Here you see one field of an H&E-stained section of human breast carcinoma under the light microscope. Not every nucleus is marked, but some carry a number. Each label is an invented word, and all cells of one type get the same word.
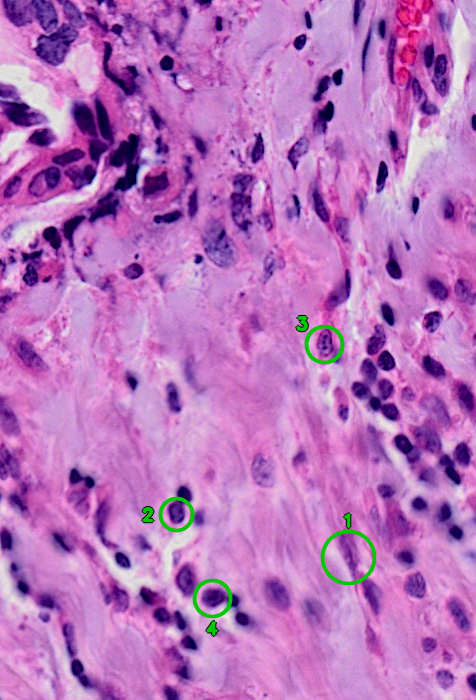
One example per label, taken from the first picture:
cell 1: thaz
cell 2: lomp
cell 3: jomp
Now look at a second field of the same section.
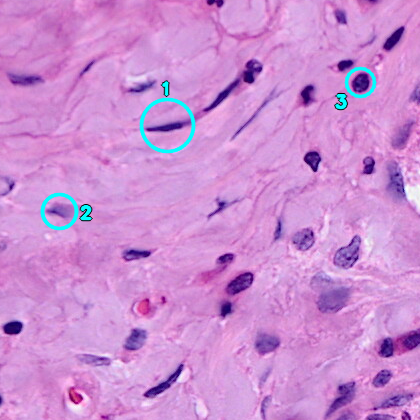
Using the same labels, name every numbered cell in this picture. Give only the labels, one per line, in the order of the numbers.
thaz
thaz
jomp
